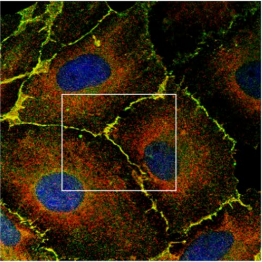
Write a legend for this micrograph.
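The cytoplasm around the nuclei carries a fine, granular red stain spread over the whole cell body. Where neighbouring cells meet, thin bright yellow lines trace the cell borders, some with small jagged extensions. A white square outlines one junction region between cells.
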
